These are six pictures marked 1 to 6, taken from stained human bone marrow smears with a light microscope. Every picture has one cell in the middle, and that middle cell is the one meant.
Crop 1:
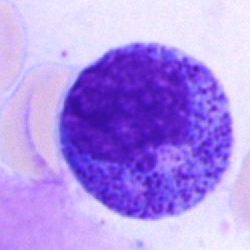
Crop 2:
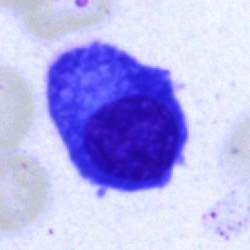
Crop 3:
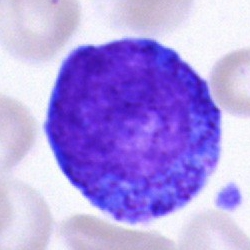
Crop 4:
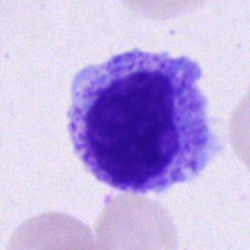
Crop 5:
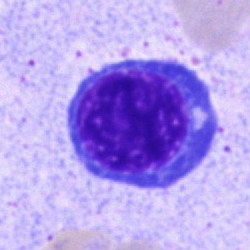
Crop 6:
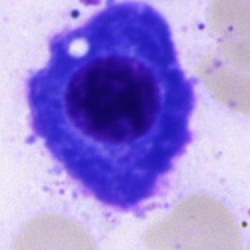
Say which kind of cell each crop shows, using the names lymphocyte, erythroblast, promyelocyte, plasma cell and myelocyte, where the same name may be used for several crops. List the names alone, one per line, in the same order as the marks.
promyelocyte
plasma cell
promyelocyte
myelocyte
erythroblast
plasma cell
